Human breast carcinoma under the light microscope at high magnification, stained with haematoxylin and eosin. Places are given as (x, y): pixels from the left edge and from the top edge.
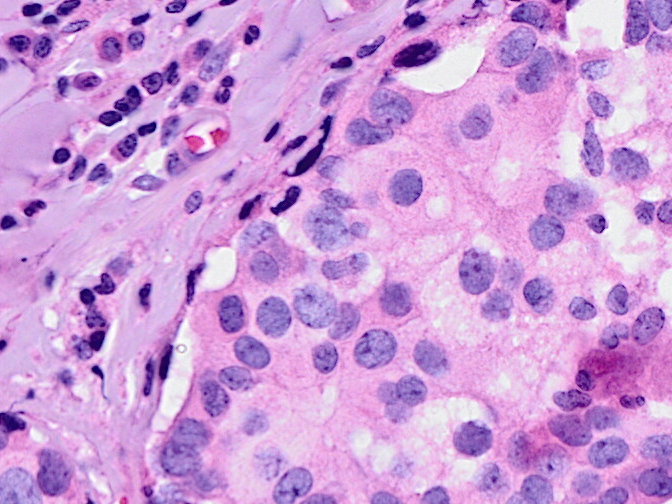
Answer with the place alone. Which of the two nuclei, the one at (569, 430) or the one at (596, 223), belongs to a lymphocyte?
(596, 223)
